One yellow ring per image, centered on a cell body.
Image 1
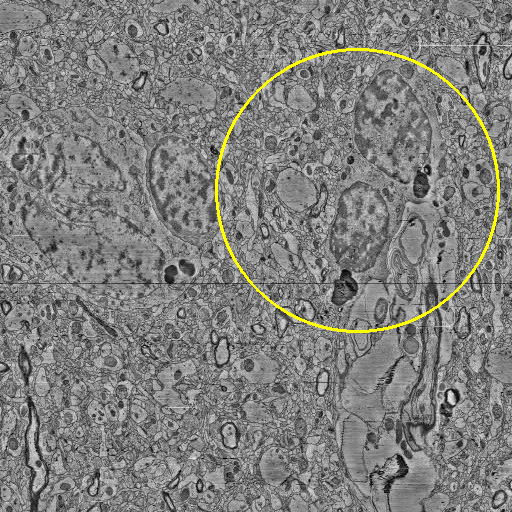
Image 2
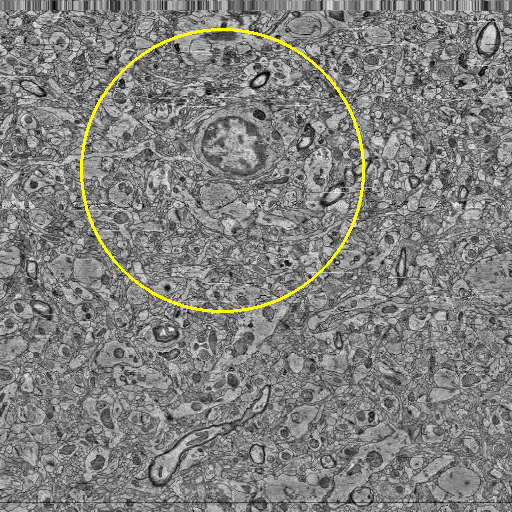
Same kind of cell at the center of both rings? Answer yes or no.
yes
